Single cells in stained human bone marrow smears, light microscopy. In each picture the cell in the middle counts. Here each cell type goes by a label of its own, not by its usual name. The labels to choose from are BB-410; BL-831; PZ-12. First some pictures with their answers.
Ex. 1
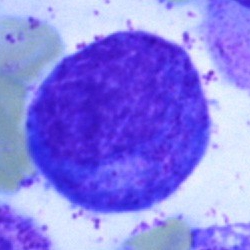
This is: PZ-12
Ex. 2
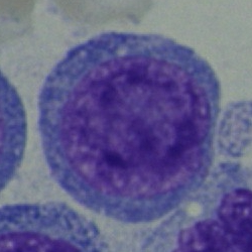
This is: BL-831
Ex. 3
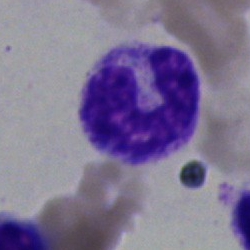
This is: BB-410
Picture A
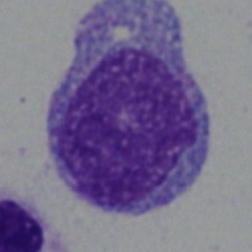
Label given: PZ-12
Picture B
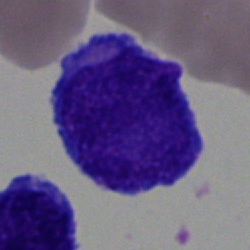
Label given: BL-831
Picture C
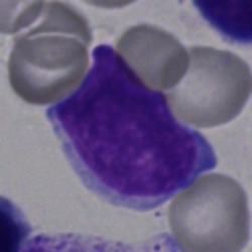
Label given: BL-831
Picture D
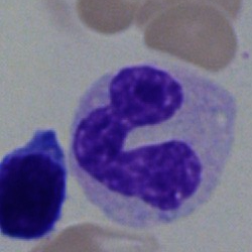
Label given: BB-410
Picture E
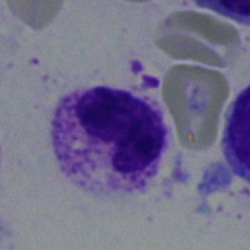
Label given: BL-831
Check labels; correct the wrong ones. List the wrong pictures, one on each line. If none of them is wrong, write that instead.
E: change BL-831 to BB-410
